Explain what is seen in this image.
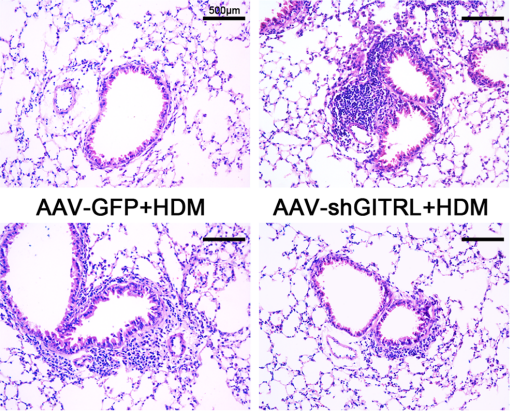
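Four images of lung tissue stained with hematoxylin and eosin each show an airway in cross-section, surrounded by thin-walled alveolar parenchyma. Each airway is lined by a continuous layer of pink-staining epithelium with purple nuclei, and the airway lumen is open. In the upper right and lower left images, dense collections of small, darkly purple nuclei crowd the tissue around the airway and the neighbouring vessel, forming thick cuffs in the wall. The alveolar walls throughout are delicate, with pale spaces between them.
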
